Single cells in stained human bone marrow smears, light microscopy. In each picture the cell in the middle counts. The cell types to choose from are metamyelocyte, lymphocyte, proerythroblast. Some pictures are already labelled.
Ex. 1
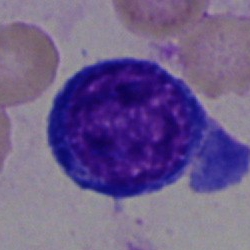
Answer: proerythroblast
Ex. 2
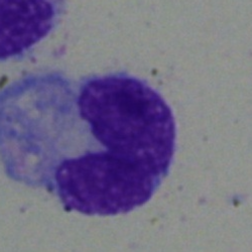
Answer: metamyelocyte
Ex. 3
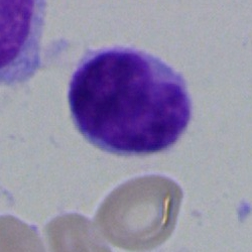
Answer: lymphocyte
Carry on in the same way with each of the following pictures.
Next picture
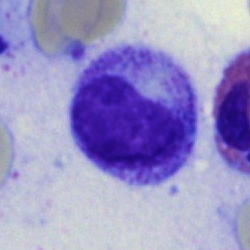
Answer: metamyelocyte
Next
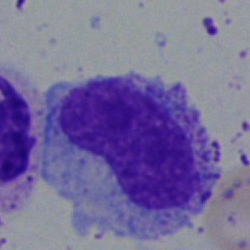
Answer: metamyelocyte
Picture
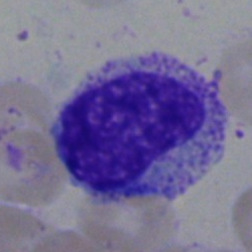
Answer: metamyelocyte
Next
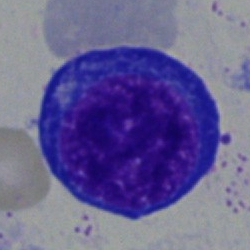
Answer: proerythroblast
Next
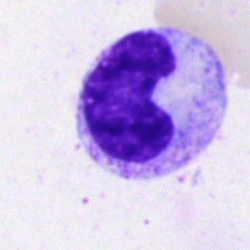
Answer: metamyelocyte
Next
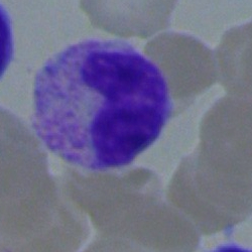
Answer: metamyelocyte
